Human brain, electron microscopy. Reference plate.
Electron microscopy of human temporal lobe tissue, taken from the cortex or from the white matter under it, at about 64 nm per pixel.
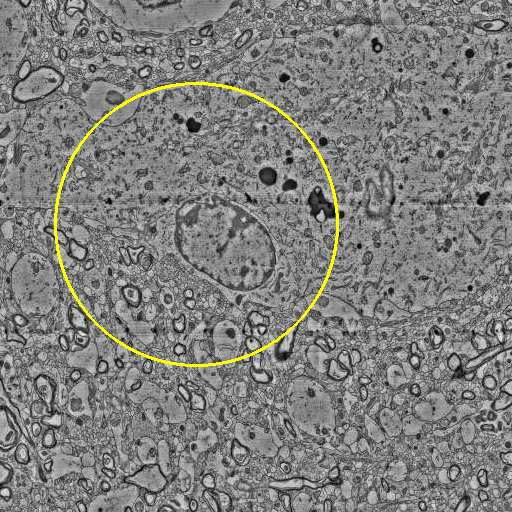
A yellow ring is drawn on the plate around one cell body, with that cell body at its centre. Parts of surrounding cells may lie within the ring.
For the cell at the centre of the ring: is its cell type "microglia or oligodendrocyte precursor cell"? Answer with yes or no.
Yes, that is its cell type.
